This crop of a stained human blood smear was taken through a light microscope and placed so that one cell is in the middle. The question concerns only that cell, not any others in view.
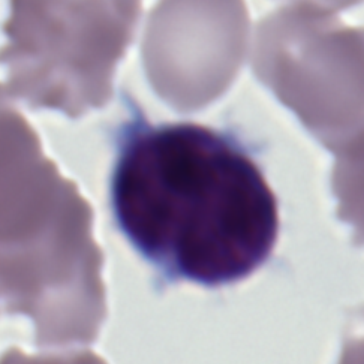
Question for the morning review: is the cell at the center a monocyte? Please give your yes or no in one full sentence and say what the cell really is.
No, the cell in the middle of the crop counts as a hairy cell and not as a monocyte.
